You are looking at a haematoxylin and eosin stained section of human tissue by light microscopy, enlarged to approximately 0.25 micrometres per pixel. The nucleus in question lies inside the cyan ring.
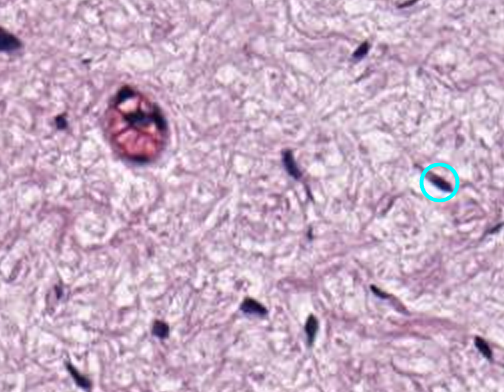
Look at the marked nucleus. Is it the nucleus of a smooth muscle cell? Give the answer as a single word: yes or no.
no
